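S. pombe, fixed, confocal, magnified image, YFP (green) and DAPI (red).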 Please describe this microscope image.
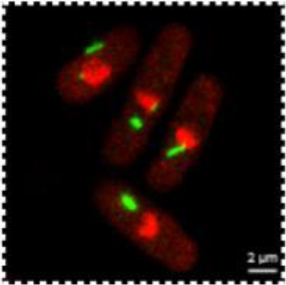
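Several rod-shaped fission yeast cells lie side by side, each containing a short green filament in its cytoplasm. Each cell has a bright red mass near its middle on a fainter red background throughout the cell. The green filaments are short and straight and sit beside or against the red mass.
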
